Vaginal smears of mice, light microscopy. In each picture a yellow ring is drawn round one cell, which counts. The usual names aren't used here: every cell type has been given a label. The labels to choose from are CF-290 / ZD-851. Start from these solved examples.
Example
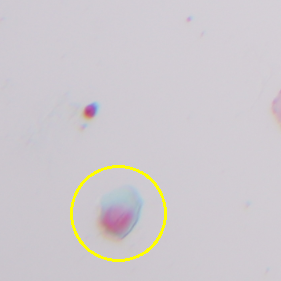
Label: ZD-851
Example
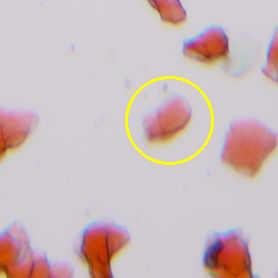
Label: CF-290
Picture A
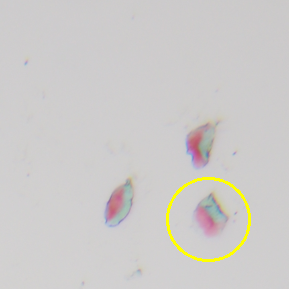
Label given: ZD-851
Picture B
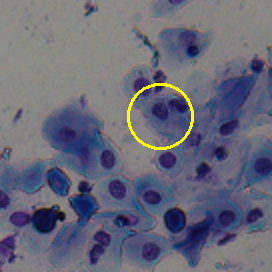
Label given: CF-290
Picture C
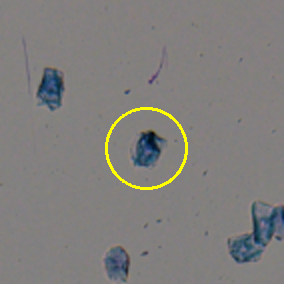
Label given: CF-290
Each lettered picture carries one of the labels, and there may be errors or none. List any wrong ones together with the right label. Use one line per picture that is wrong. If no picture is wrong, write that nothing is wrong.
A: not ZD-851 but CF-290
B: not CF-290 but ZD-851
